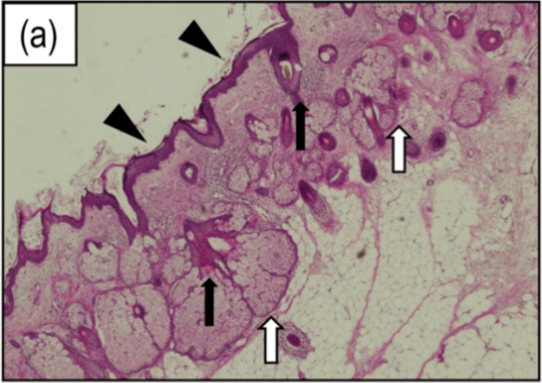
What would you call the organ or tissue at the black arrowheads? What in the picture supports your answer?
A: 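A thin, dark pink stratified layer lines the free surface at the upper left. The layer forms an undulating border with the paler tissue beneath. On this evidence: squamous cell epithelium.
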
